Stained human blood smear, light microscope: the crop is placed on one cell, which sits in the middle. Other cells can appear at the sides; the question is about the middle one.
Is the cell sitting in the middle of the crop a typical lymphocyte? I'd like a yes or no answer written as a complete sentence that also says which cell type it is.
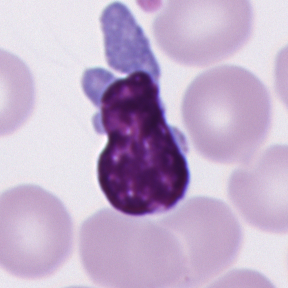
Yes, the cell shown centrally is a typical lymphocyte.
